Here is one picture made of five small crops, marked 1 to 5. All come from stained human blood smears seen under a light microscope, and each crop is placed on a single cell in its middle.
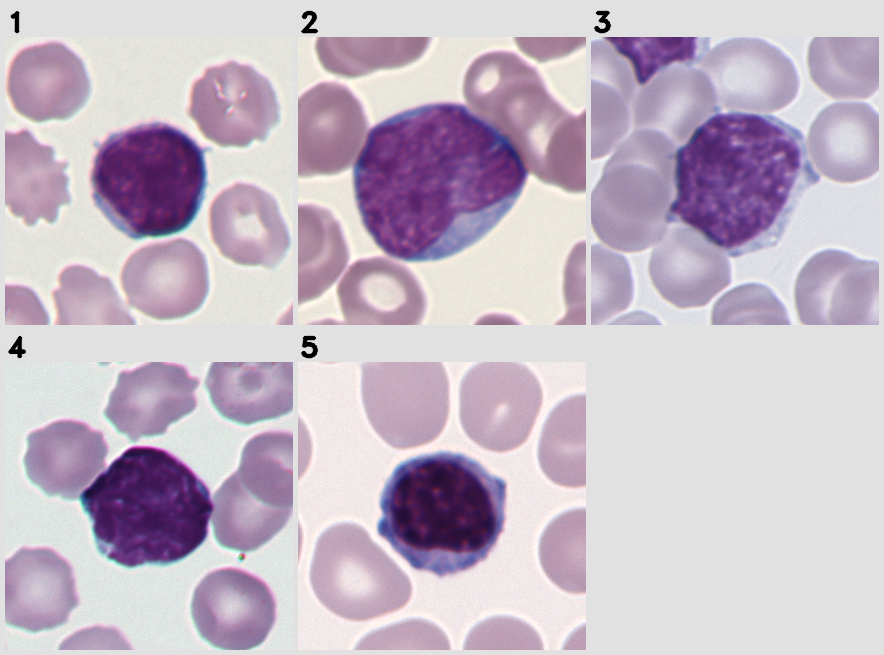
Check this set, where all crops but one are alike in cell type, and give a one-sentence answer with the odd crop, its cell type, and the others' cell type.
While crop 2 shows a myeloblast, the other crops all show typical lymphocytes.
